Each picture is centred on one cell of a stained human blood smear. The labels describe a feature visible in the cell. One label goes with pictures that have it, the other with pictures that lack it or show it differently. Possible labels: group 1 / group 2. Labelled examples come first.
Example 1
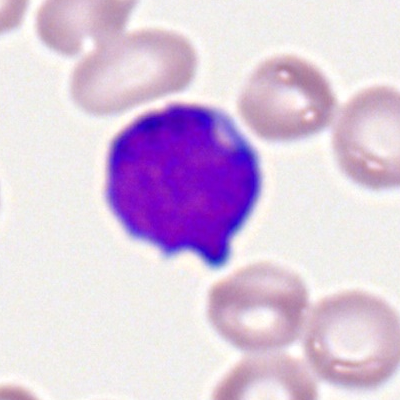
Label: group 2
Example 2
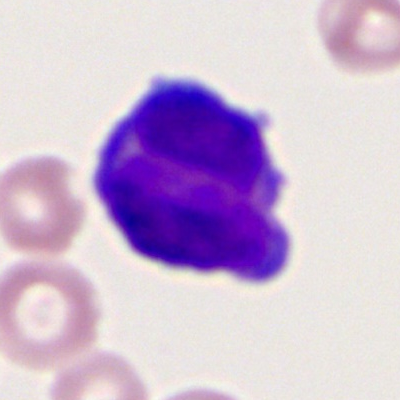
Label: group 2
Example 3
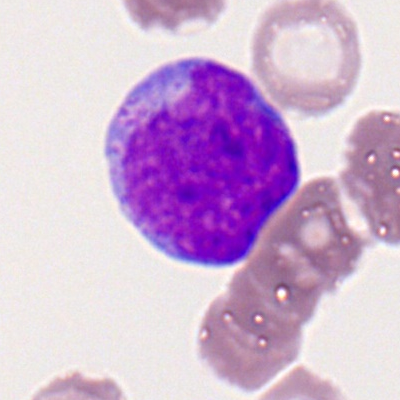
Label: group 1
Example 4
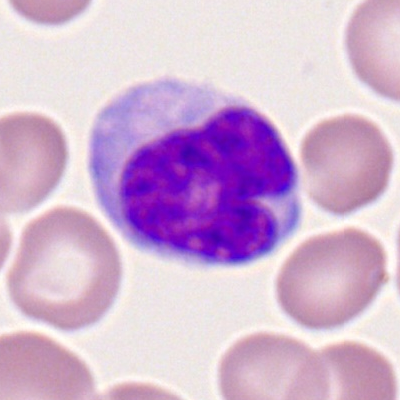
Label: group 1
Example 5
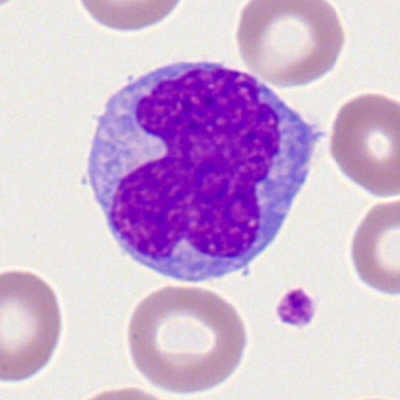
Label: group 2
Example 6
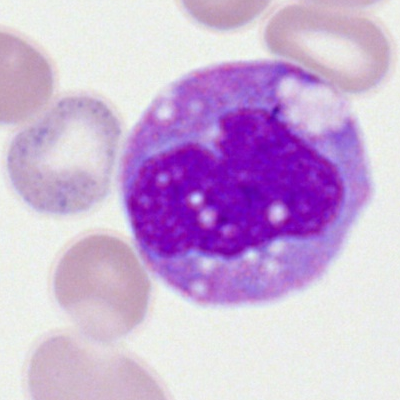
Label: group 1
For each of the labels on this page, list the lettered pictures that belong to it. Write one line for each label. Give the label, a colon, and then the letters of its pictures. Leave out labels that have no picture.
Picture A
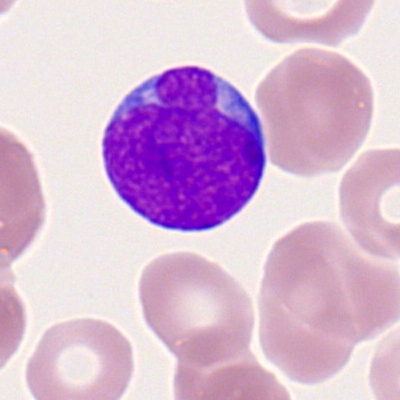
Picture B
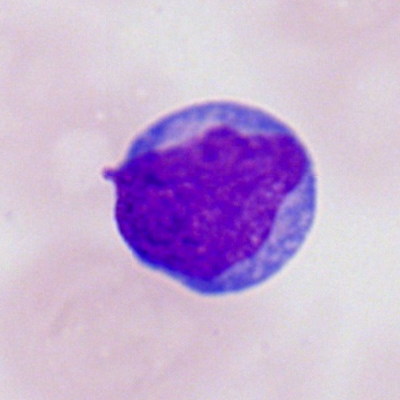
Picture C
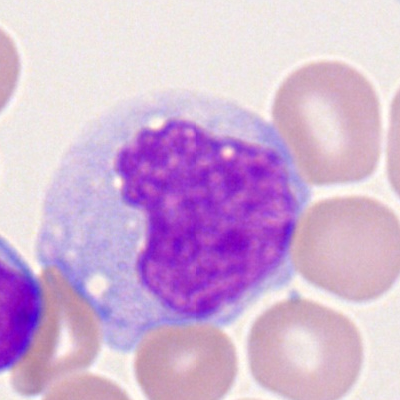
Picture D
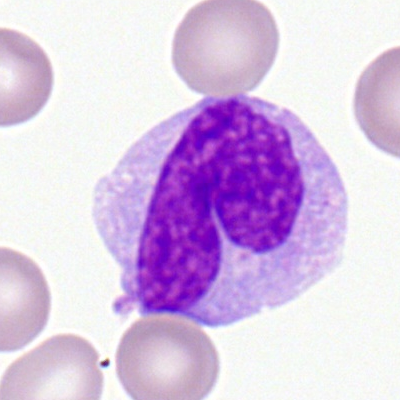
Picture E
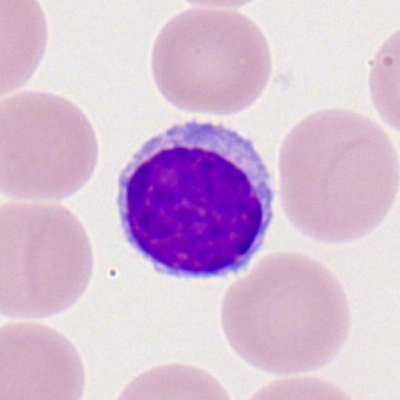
group 1: A, C
group 2: B, D, E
